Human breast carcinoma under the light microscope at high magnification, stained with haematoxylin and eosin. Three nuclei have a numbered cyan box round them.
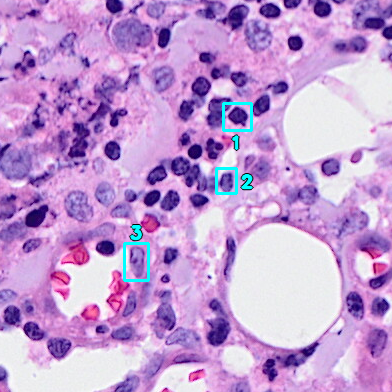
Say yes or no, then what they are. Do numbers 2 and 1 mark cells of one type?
Yes: cells 2 and 1 are both lymphocytes.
